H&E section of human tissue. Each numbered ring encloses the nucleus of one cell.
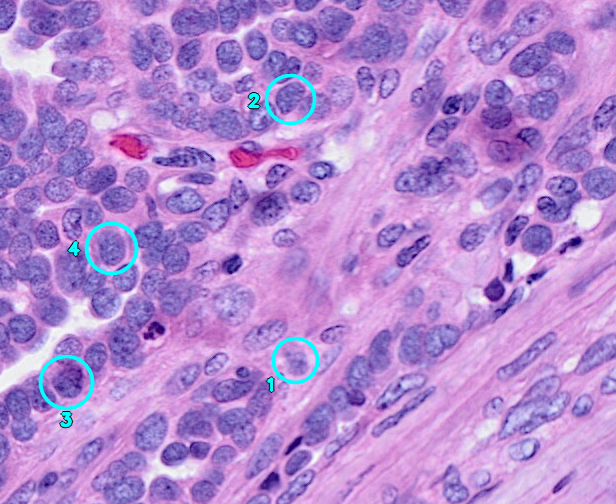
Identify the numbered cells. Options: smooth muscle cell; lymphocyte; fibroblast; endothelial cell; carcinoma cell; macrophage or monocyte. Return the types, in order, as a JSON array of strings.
["fibroblast", "carcinoma cell", "carcinoma cell", "carcinoma cell"]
